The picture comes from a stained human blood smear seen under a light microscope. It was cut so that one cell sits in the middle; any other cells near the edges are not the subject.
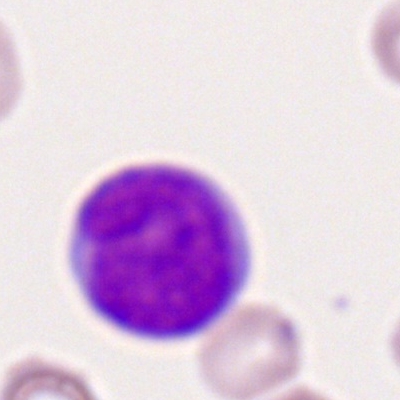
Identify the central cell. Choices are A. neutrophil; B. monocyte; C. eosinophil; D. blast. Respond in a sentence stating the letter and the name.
Option D is the right choice, the central cell being a blast.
